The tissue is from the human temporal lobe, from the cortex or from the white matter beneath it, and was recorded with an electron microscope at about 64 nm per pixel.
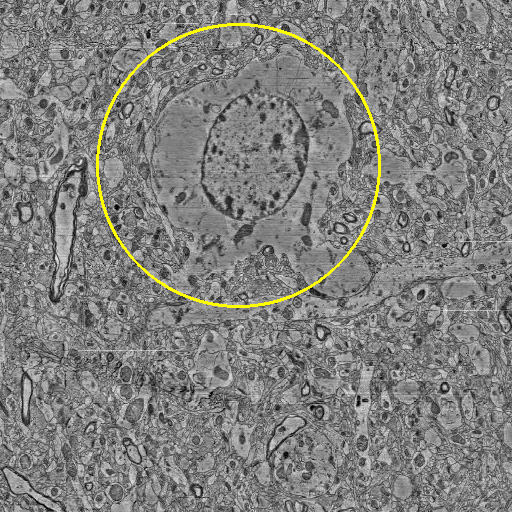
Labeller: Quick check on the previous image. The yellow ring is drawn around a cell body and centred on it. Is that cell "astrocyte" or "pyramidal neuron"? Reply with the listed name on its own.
astrocyte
